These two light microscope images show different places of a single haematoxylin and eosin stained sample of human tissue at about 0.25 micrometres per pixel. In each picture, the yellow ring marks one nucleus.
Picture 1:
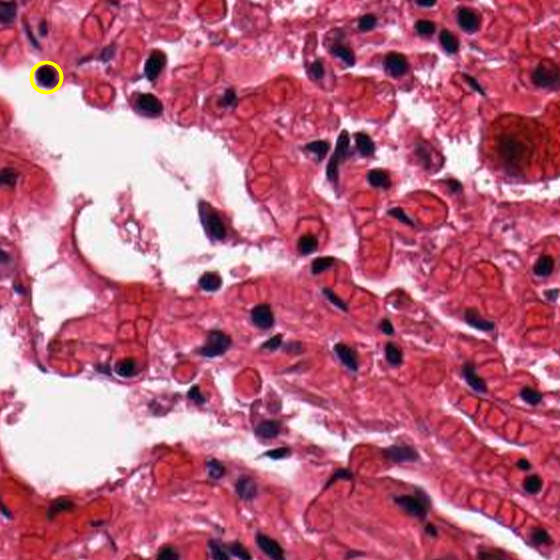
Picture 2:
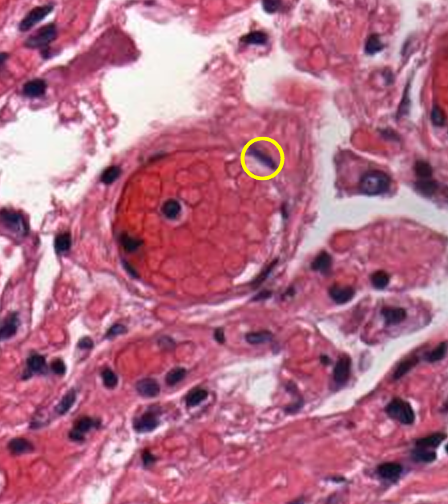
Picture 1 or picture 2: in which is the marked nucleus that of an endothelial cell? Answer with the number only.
2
